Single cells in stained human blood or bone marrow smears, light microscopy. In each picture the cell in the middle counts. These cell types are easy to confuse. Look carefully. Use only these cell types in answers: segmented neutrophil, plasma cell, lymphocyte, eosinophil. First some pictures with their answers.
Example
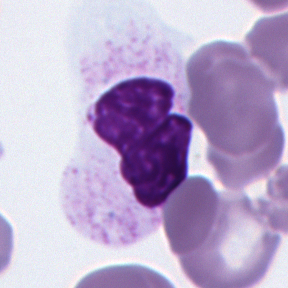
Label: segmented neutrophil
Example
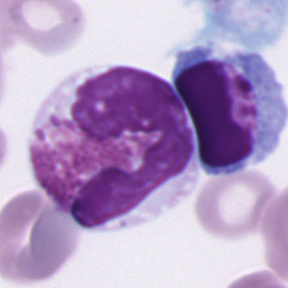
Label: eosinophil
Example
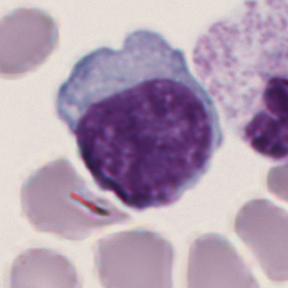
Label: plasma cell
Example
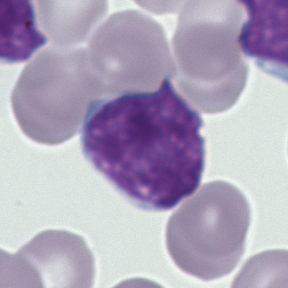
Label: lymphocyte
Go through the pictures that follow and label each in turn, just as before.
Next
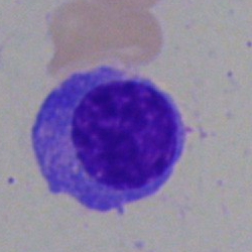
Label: plasma cell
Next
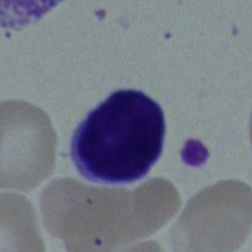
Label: lymphocyte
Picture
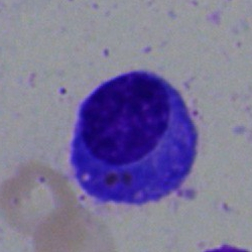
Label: plasma cell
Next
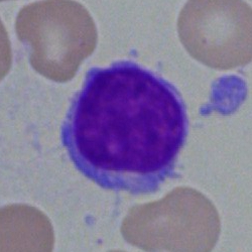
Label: lymphocyte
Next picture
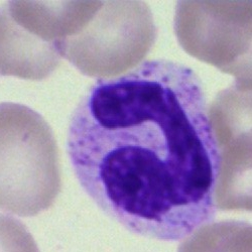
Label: segmented neutrophil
